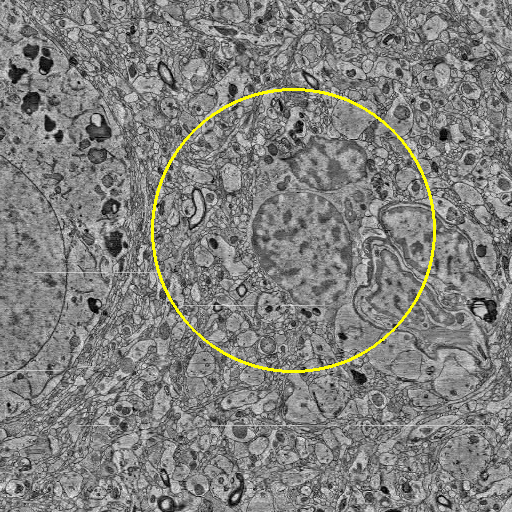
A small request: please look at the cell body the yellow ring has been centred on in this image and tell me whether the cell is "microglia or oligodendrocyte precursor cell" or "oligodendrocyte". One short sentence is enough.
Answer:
The cell marked by the ring is an oligodendrocyte.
